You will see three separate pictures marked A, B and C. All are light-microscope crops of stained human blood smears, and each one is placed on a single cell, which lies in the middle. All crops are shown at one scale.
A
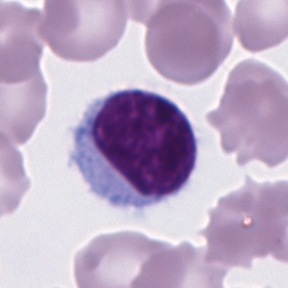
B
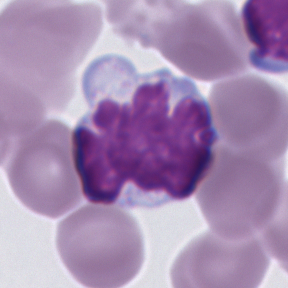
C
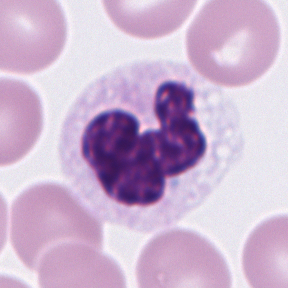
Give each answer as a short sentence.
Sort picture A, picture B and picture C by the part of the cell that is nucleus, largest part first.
The most filled comes first: B, A, C.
